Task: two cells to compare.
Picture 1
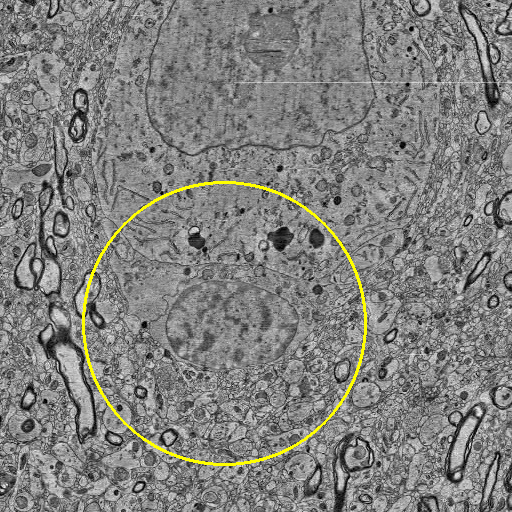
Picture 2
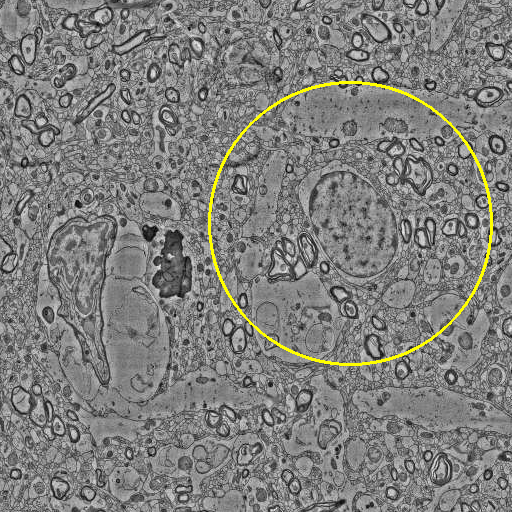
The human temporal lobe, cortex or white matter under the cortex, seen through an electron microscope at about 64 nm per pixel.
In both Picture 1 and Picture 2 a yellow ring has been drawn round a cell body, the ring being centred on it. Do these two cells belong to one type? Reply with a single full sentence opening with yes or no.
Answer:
No, the two cells at the ring centres in Picture 1 and Picture 2 are of two types.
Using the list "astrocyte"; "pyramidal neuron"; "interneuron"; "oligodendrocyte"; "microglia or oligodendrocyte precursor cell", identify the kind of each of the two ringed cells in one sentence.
The first is an oligodendrocyte and the second is a microglial cell or oligodendrocyte precursor cell.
